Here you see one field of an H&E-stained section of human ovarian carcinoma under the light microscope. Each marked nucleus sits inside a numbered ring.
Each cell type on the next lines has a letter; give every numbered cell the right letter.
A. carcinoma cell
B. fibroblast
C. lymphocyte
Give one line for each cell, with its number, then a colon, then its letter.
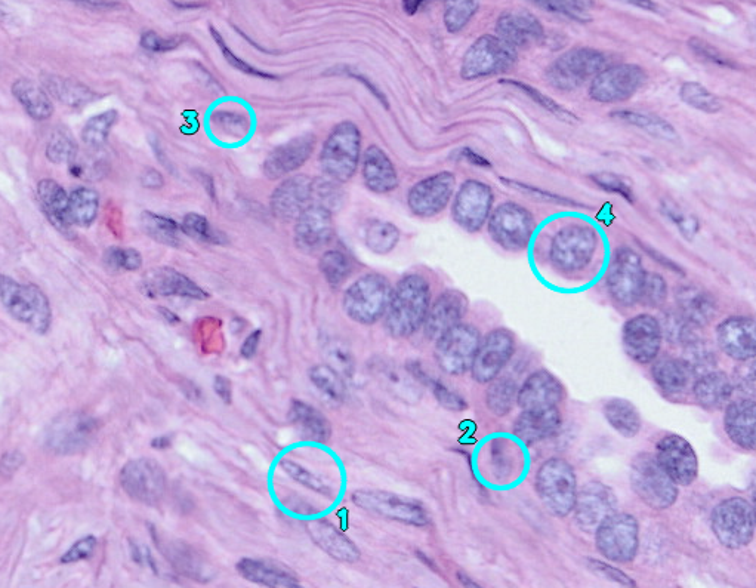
1: B
2: B
3: B
4: A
